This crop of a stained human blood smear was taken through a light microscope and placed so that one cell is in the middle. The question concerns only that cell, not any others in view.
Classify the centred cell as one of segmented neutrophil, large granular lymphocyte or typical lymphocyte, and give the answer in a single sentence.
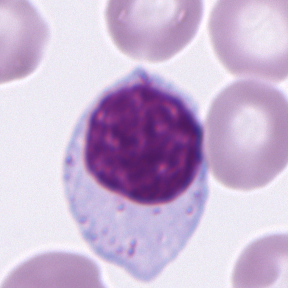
By classification, the middle cell of this crop is a large granular lymphocyte.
